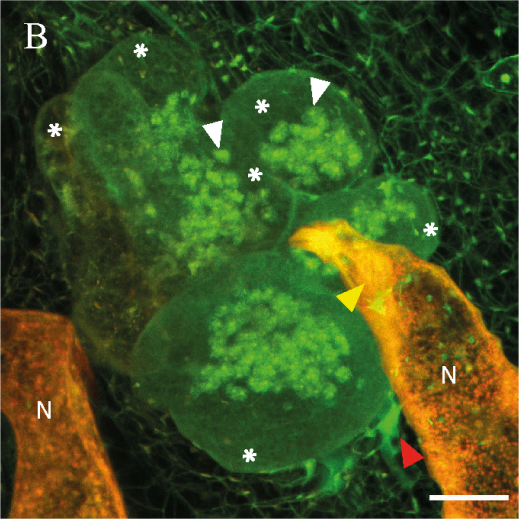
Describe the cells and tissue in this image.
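A group of about five very large, rounded giant cells lies in the root around the anterior end of an orange-fluorescent nematode. The surrounding root cells are much smaller and outlined by a fine green network of walls. A second nematode body lies at the lower left edge.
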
